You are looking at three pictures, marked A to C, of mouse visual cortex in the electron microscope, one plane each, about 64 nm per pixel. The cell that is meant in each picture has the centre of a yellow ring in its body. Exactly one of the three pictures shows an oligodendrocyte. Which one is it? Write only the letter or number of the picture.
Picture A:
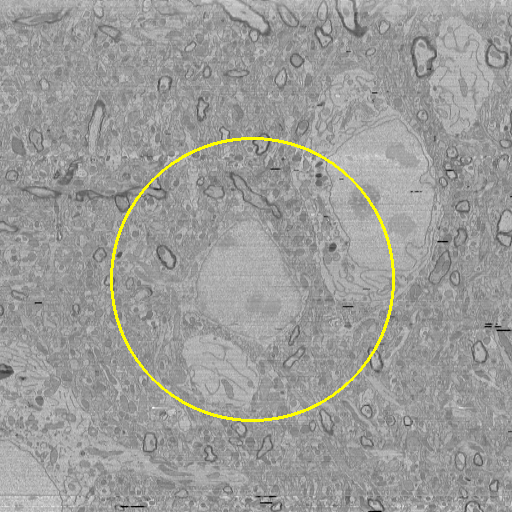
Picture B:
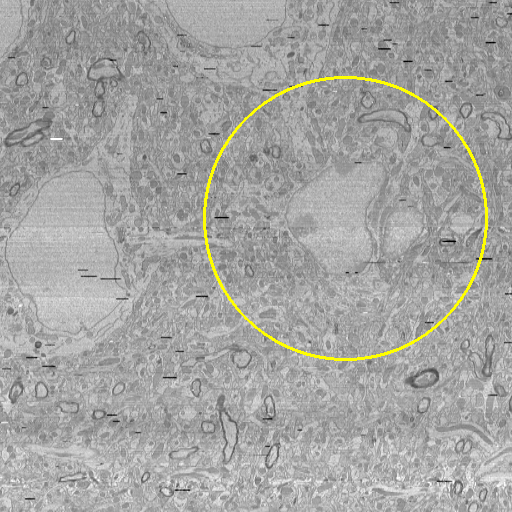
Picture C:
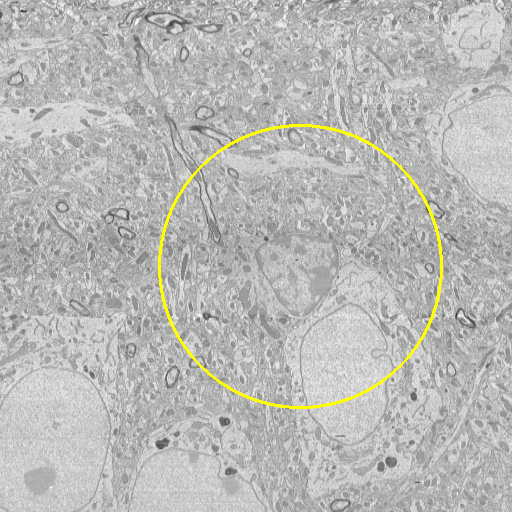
C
